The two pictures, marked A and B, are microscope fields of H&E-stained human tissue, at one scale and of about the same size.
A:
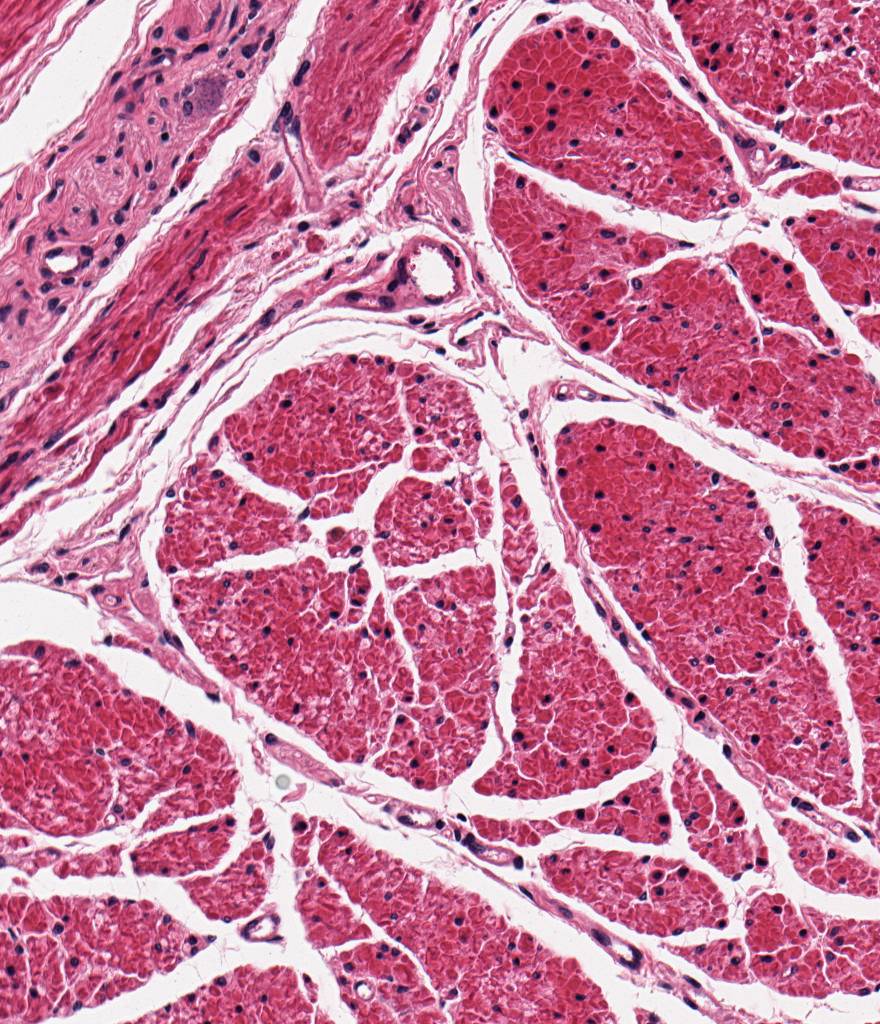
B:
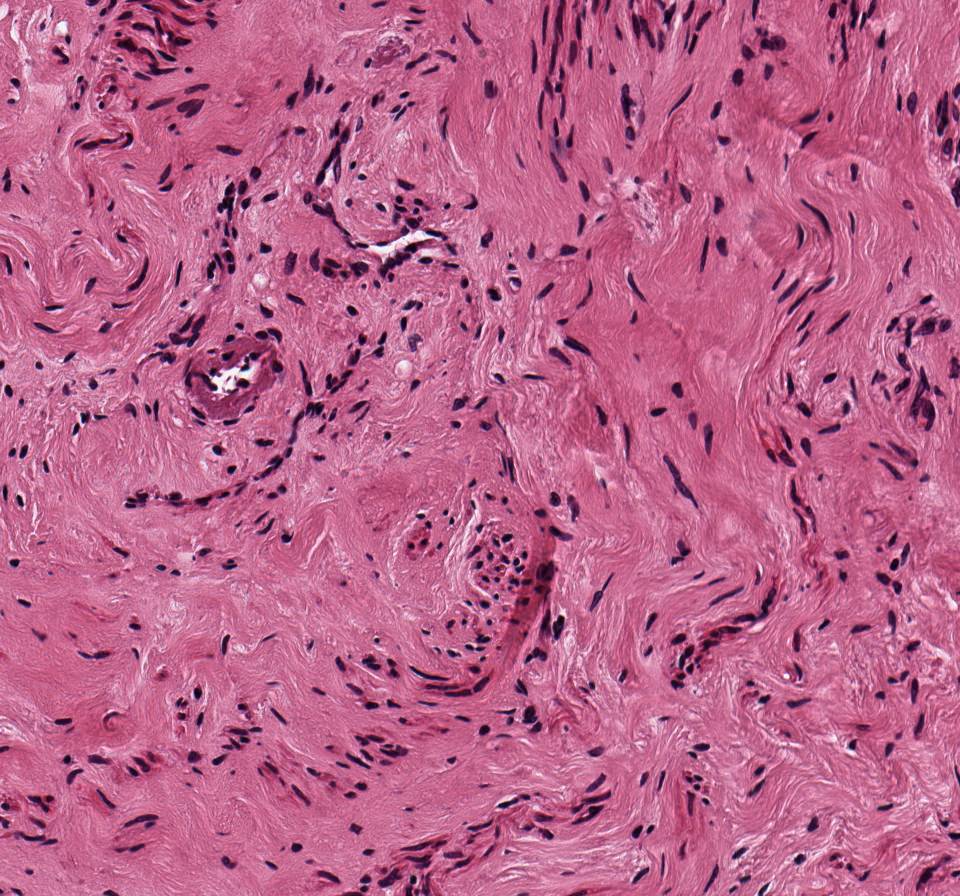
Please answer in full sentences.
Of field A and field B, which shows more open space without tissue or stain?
Unstained space takes up more of field A than of field B.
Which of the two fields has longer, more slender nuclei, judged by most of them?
On the whole the nuclei of field B are more drawn out than those of field A.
